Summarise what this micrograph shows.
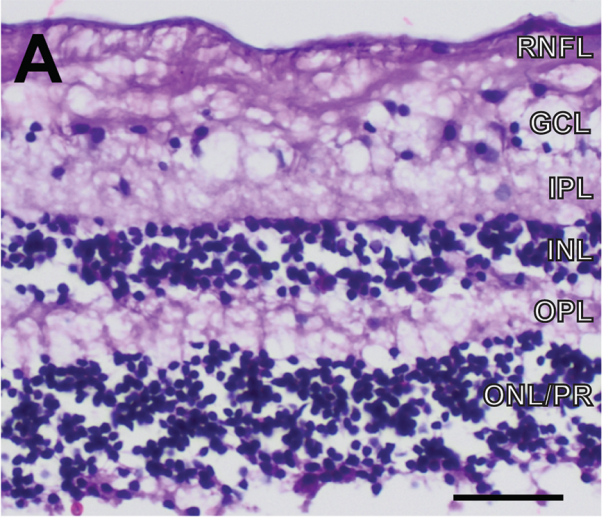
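This is a cross-section of the retina stained pink and purple, with its layers stacked from the inner surface at the top to the outer side at the bottom. A thin pink fibrous layer lines the surface; beneath it a loose, vacuolated band holds a sparse scatter of larger cell nuclei. A pale, finely fibrous band follows, then a thick band of densely packed, dark round nuclei. Another pale fibrous band separates this from the outermost band, which is again crowded with small, dark, round nuclei, with paler material at the very bottom edge.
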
